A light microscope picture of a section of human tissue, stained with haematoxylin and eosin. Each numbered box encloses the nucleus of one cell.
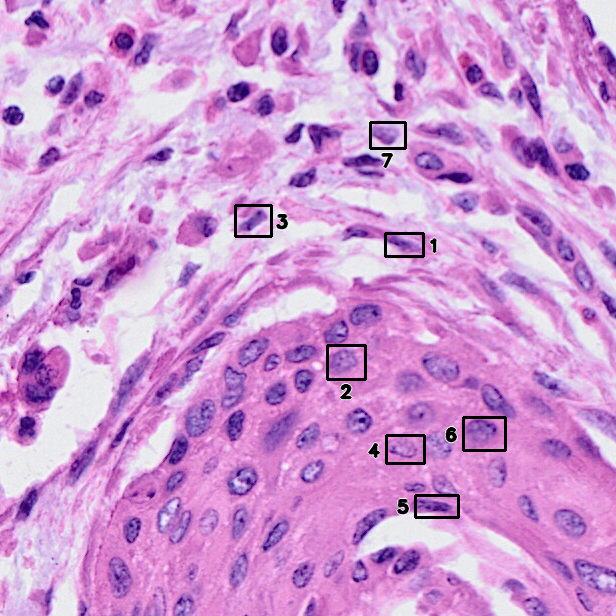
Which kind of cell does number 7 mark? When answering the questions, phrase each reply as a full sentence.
Cell number 7 in this section is a fibroblast.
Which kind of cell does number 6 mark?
Among the marked nuclei, number 6 belongs to a squamous carcinoma cell.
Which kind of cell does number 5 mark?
Number 5 among the marked cells is a squamous carcinoma cell.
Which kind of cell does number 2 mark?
To a squamous carcinoma cell belongs the nucleus marked 2.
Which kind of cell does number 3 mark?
The numbered cell 3 is identified here as a fibroblast.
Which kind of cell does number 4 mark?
The cell numbered 4 has been identified as a squamous carcinoma cell.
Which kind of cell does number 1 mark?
At number 1, the marked cell is a fibroblast.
